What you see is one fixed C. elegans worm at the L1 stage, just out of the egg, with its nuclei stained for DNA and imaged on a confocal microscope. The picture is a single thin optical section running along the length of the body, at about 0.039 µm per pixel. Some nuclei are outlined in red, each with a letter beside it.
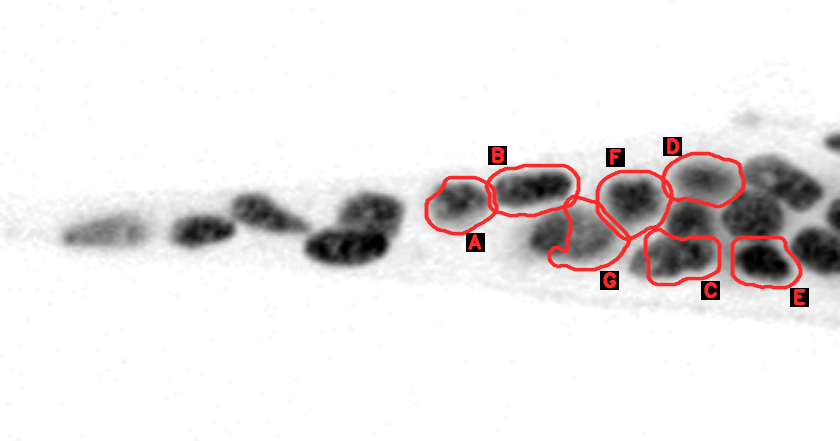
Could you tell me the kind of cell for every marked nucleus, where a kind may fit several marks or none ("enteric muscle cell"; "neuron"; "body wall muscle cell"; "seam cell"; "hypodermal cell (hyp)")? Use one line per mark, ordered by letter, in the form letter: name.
A: hypodermal cell (hyp)
B: hypodermal cell (hyp)
C: body wall muscle cell
D: body wall muscle cell
E: enteric muscle cell
F: neuron
G: seam cell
